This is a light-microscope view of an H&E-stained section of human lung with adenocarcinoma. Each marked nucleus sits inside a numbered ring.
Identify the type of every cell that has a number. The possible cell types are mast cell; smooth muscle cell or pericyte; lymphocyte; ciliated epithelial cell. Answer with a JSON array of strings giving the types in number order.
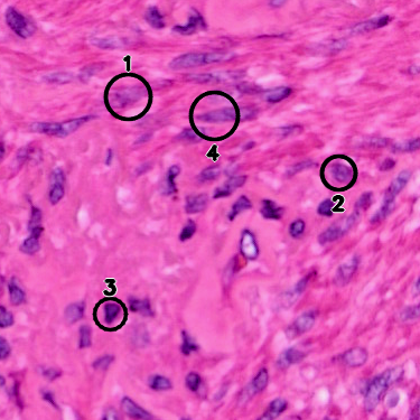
["smooth muscle cell or pericyte", "smooth muscle cell or pericyte", "mast cell", "smooth muscle cell or pericyte"]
